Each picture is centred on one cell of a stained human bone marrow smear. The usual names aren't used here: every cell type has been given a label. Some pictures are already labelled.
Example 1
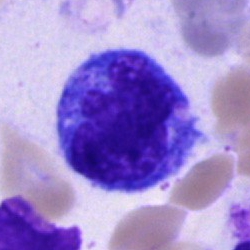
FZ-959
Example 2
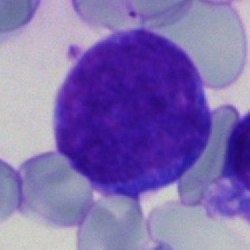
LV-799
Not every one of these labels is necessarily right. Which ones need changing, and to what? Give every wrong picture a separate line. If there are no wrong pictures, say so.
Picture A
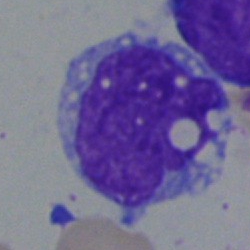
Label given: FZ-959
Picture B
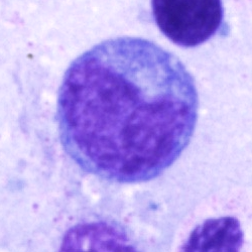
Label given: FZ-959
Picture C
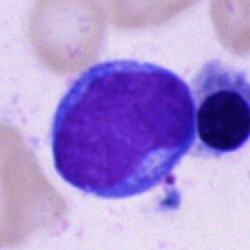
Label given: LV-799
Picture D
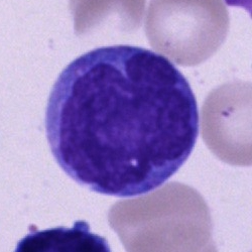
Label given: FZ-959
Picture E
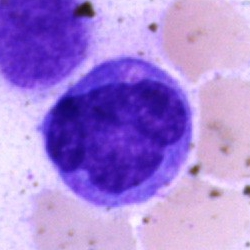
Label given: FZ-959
Every label is right.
